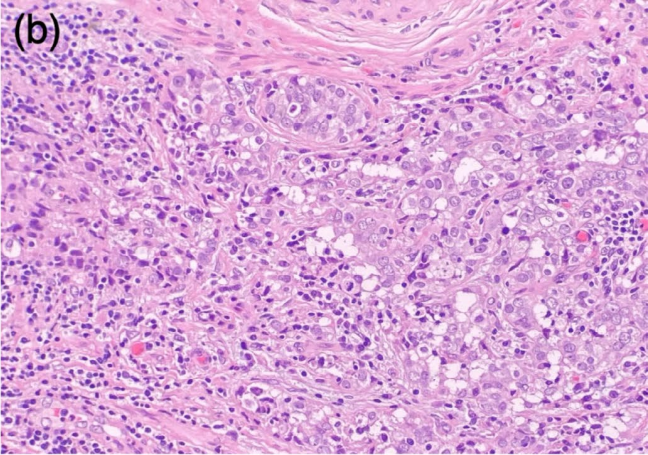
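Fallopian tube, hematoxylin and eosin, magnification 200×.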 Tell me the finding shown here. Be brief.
Enlarged, pleomorphic nuclei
